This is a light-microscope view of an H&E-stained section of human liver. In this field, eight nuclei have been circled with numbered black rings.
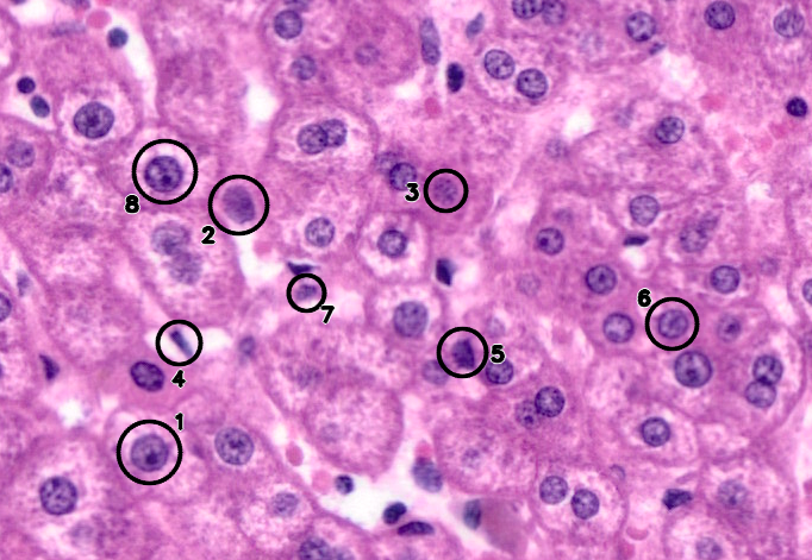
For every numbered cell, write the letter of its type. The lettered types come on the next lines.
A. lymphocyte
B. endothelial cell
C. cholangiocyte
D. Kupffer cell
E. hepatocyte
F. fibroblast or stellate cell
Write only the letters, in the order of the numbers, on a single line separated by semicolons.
E; B; E; B; F; E; D; E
